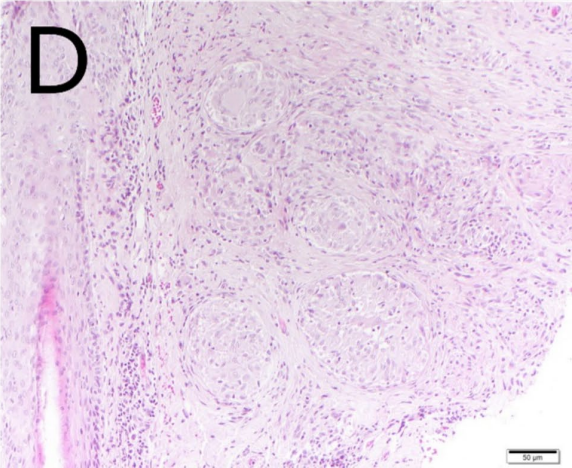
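Dermis of the skin with several rounded, sharply bounded granulomas lying side by side. They are made of pale epithelioid cells with pale pink cytoplasm and oval nuclei, and only a thin rim of small dark lymphocytes surrounds each one. To one side a band of more densely packed small dark cells runs beside a thin pink strip.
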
